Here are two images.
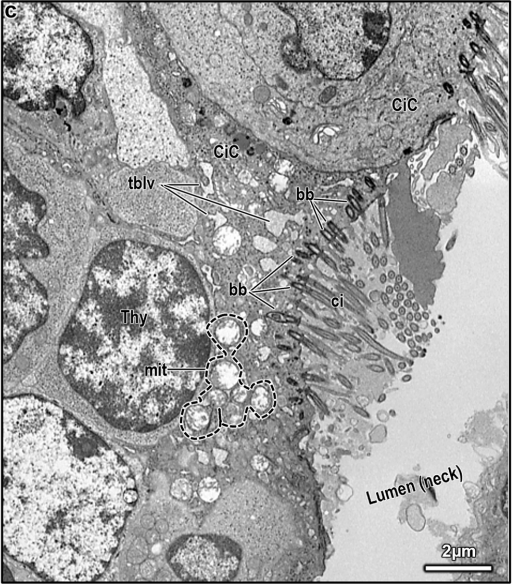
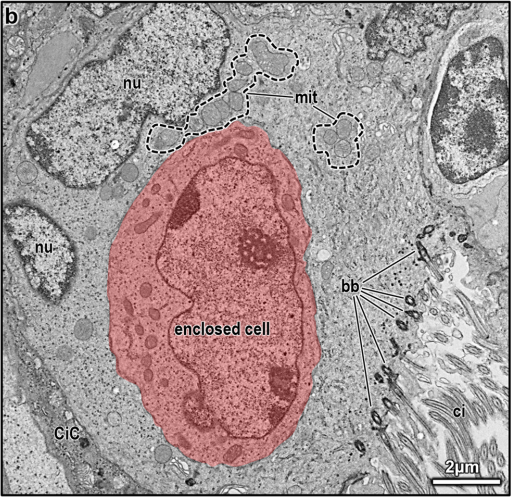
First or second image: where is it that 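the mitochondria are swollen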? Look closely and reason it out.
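Second image: the outlined mitochondria are small and of even, moderate density. First image: the outlined mitochondria are enlarged, round and pale, with washed-out interiors.
The first image.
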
